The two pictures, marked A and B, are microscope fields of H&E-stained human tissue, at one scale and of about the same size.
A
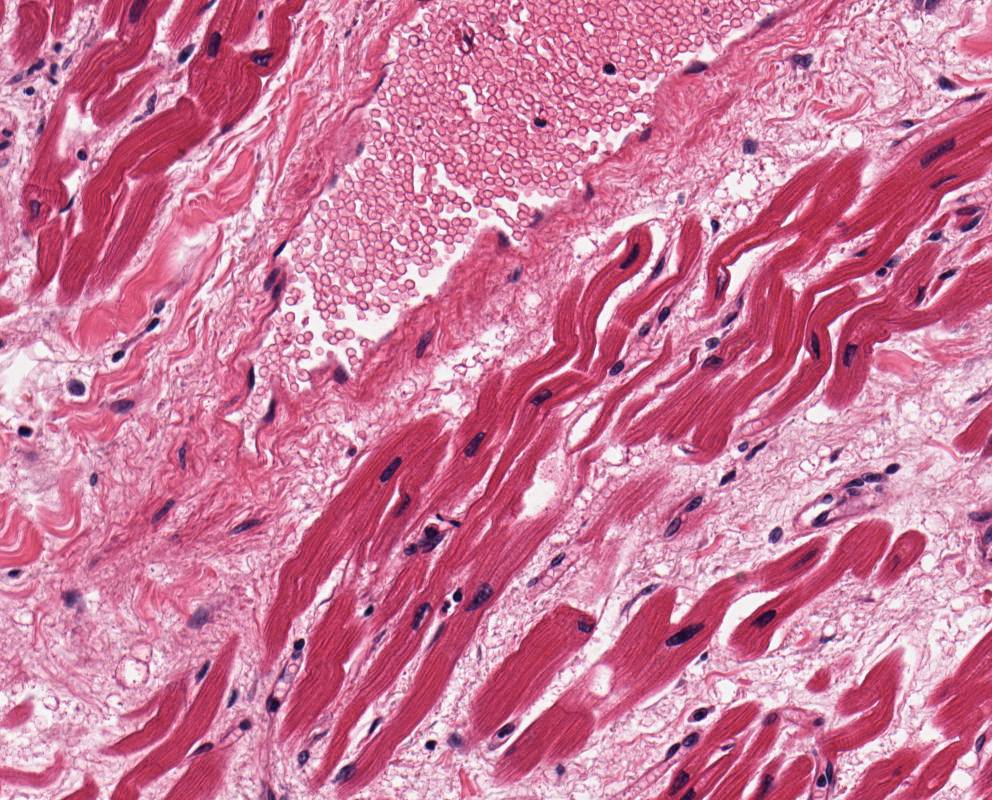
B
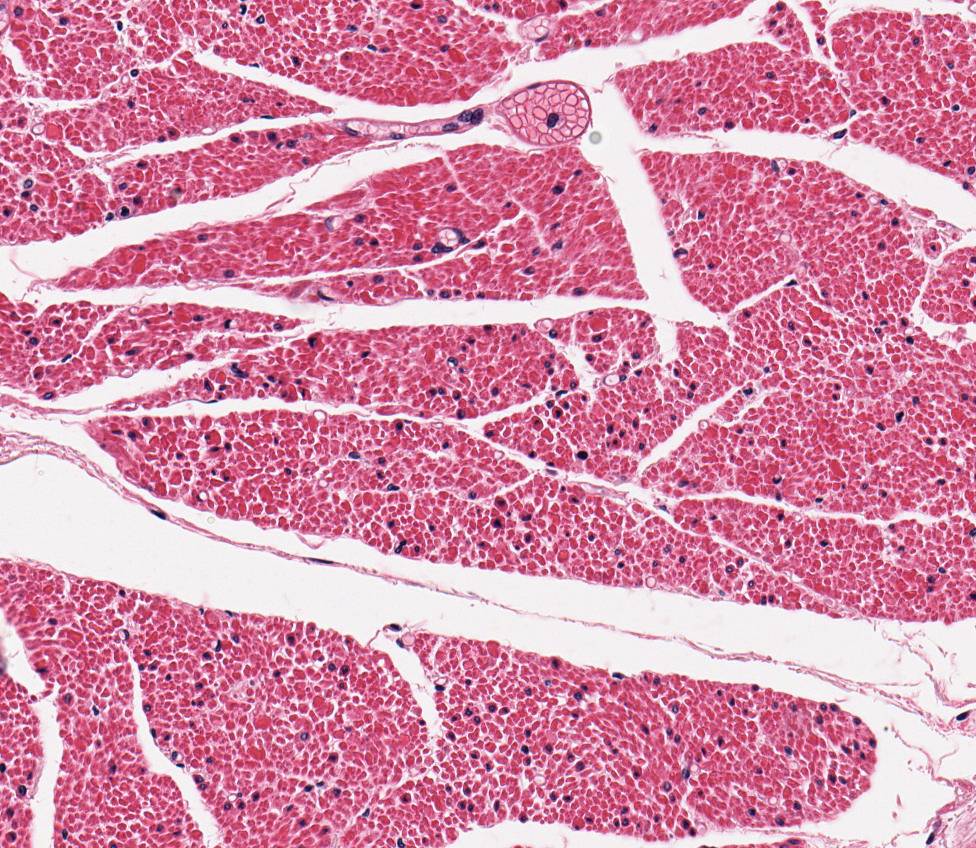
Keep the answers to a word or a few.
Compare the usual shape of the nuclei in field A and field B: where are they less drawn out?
B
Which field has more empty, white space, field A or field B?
B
